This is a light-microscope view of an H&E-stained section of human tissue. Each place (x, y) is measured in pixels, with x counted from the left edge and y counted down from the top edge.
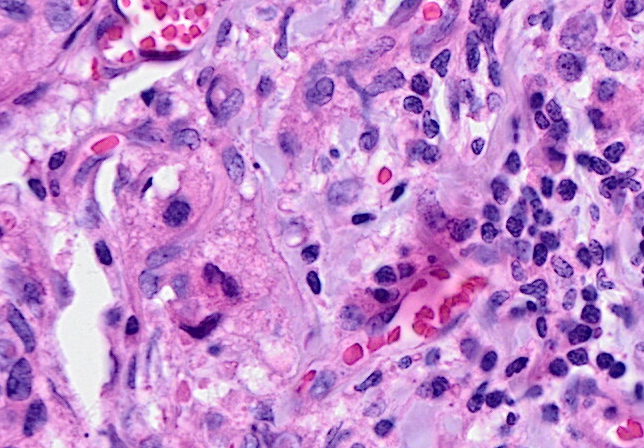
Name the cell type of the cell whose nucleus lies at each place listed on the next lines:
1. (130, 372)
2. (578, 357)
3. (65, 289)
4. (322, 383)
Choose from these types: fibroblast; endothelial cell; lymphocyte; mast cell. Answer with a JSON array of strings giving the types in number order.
["fibroblast", "lymphocyte", "fibroblast", "endothelial cell"]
